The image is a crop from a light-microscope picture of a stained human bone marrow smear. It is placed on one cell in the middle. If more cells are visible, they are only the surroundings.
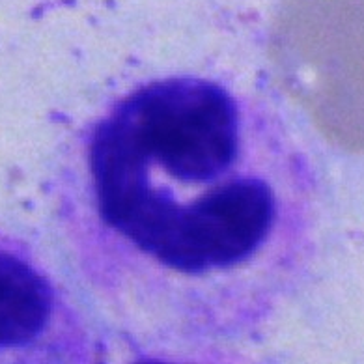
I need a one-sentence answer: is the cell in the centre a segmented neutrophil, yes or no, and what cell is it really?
Yes, that is a segmented neutrophil in the middle of the crop.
